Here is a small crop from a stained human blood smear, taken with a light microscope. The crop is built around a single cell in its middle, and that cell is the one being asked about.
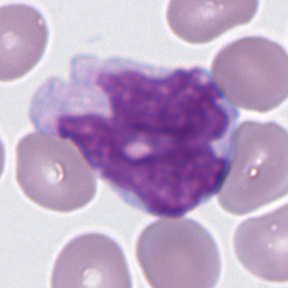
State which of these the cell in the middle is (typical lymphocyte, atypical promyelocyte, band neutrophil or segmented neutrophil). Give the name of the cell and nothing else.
atypical promyelocyte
